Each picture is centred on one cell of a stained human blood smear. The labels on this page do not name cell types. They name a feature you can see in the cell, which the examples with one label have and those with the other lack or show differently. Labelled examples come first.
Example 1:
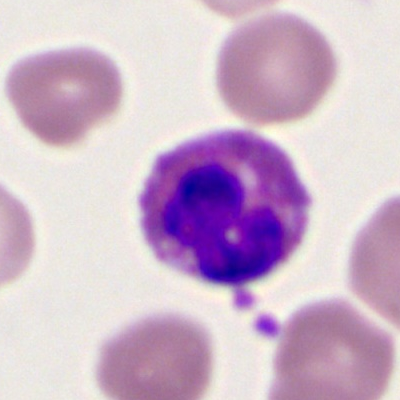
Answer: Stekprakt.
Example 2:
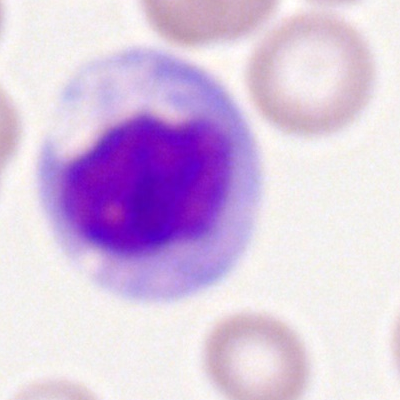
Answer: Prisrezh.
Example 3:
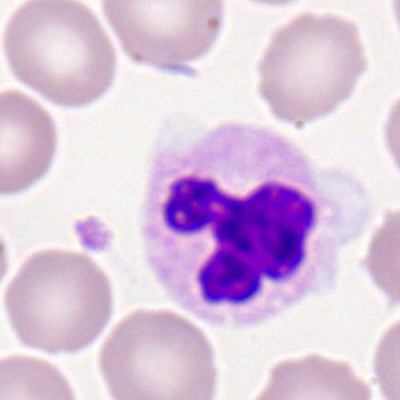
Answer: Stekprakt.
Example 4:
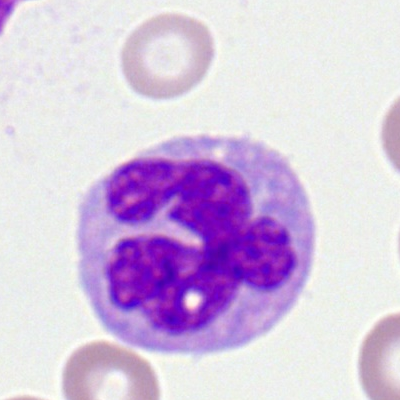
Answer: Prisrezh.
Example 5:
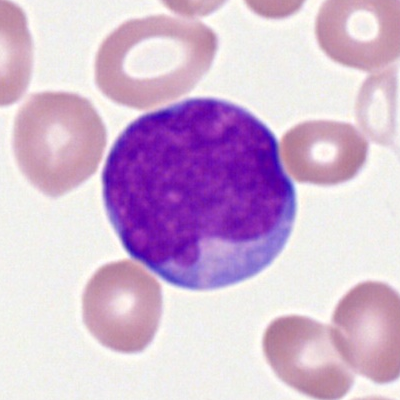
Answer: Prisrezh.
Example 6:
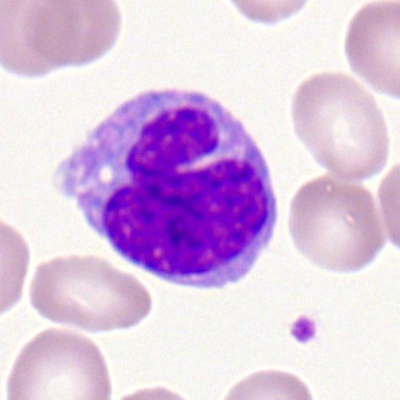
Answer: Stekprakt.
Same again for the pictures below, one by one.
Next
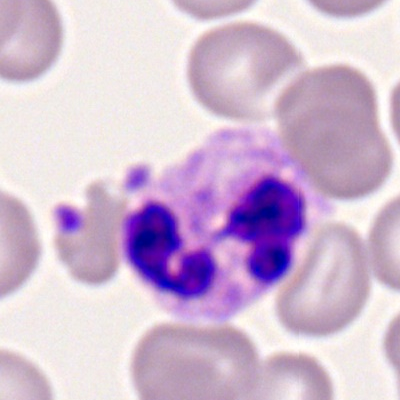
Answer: Stekprakt.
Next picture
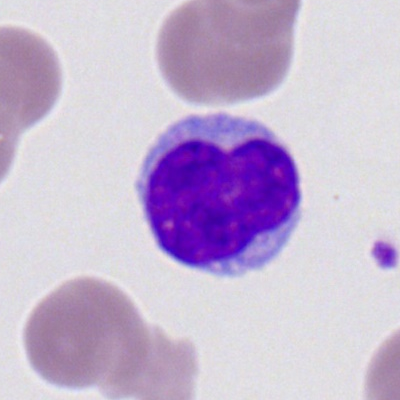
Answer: Prisrezh.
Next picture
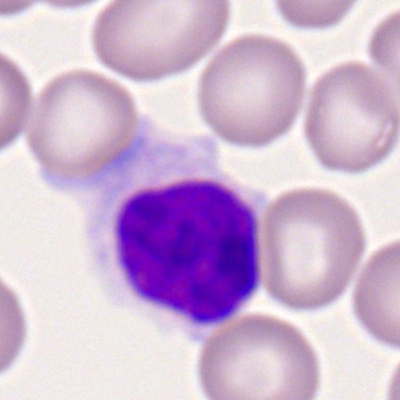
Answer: Stekprakt.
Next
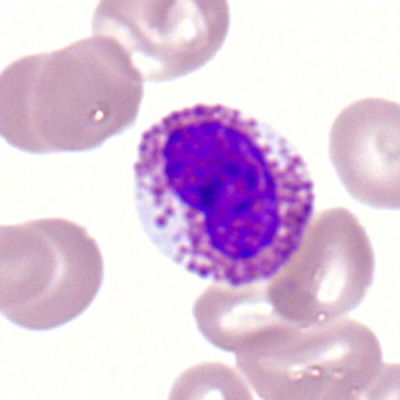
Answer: Prisrezh.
